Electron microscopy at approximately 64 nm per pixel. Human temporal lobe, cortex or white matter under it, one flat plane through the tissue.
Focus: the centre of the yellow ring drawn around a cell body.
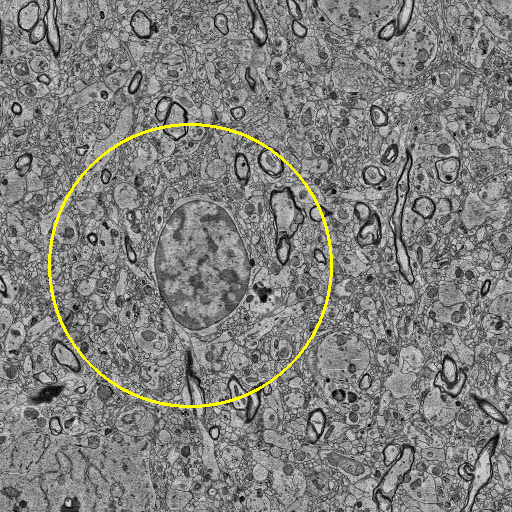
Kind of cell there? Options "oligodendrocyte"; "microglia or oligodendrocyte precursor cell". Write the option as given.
microglia or oligodendrocyte precursor cell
